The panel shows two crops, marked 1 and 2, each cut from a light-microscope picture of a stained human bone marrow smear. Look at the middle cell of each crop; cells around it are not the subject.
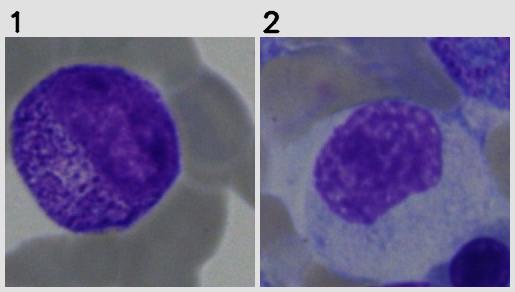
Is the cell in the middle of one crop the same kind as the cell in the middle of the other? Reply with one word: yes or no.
yes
